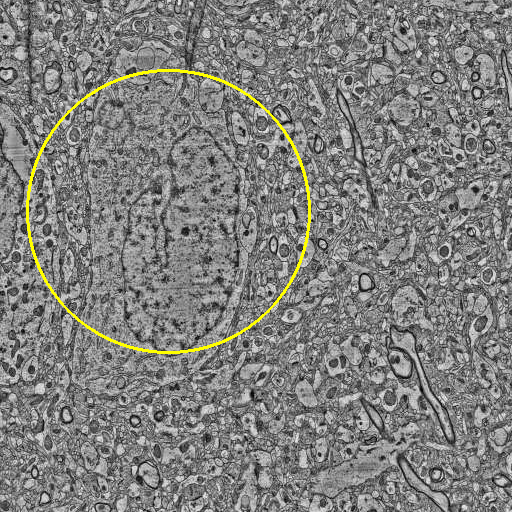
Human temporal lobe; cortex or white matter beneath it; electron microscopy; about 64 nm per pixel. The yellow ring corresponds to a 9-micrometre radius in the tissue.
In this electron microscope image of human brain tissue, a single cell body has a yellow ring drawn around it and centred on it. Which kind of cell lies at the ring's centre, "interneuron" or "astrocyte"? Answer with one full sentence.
It is an interneuron whose cell body lies at the centre of the yellow ring here.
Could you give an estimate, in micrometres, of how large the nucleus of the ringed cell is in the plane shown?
Clearly longer than it is wide in this plane, the nucleus measures roughly 13 by 8 micrometres.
